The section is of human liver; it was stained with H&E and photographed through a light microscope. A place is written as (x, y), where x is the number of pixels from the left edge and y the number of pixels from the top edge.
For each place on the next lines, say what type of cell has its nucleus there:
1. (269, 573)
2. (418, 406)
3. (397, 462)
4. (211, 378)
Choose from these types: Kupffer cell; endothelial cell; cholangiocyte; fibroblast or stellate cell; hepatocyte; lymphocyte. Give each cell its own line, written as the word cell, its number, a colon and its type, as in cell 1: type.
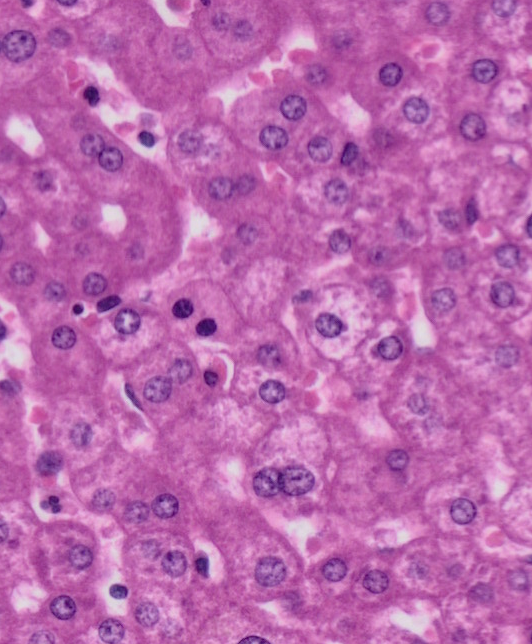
cell 1: hepatocyte
cell 2: hepatocyte
cell 3: hepatocyte
cell 4: Kupffer cell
